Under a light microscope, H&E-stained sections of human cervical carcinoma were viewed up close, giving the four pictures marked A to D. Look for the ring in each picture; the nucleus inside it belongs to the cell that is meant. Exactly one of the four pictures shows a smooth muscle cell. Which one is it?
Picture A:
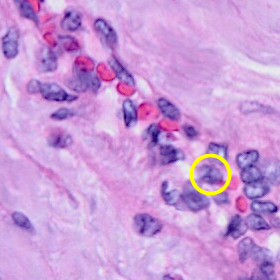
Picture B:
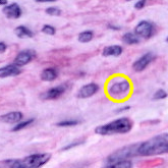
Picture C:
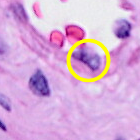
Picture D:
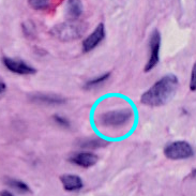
B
